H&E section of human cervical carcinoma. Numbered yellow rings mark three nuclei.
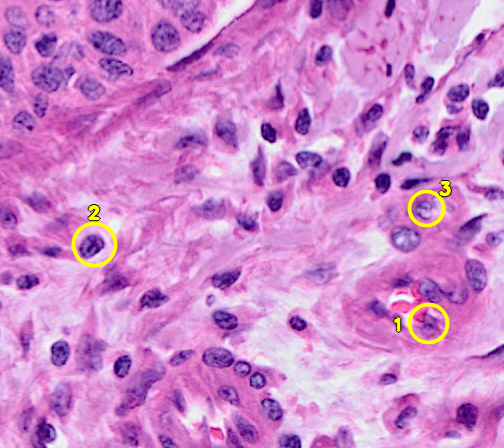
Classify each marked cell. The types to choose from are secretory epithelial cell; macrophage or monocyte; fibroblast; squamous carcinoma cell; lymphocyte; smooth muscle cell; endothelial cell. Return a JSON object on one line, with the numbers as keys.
{"1": "endothelial cell", "2": "lymphocyte", "3": "endothelial cell"}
